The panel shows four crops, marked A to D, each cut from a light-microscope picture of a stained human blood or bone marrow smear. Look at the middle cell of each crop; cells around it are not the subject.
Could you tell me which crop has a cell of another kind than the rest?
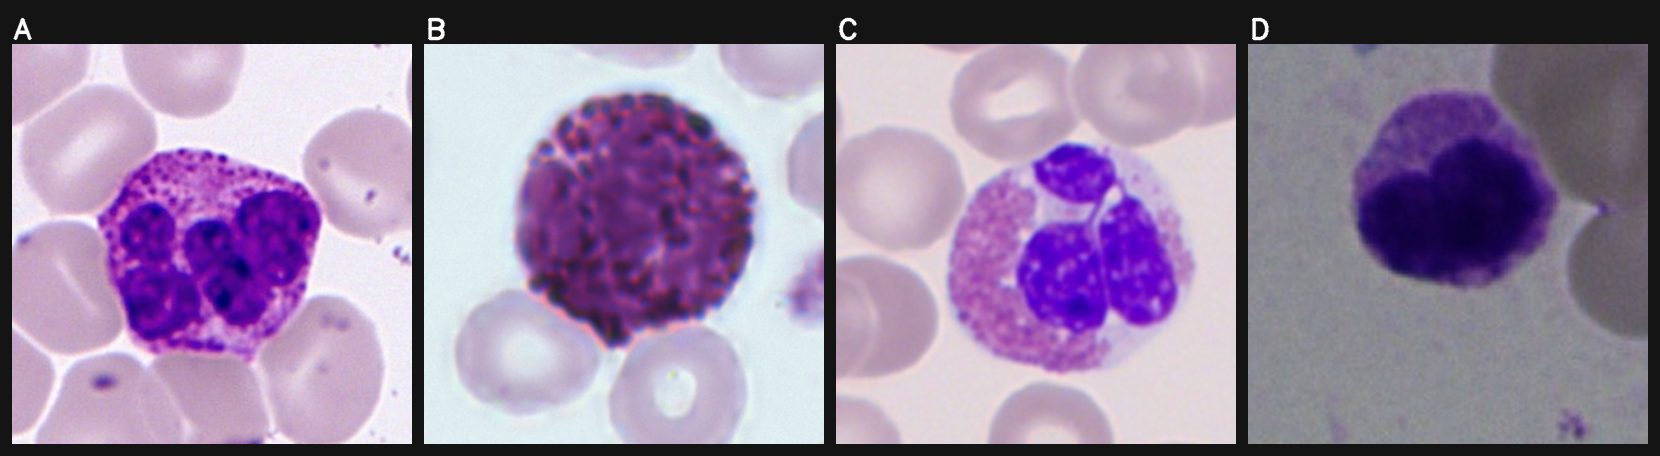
C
